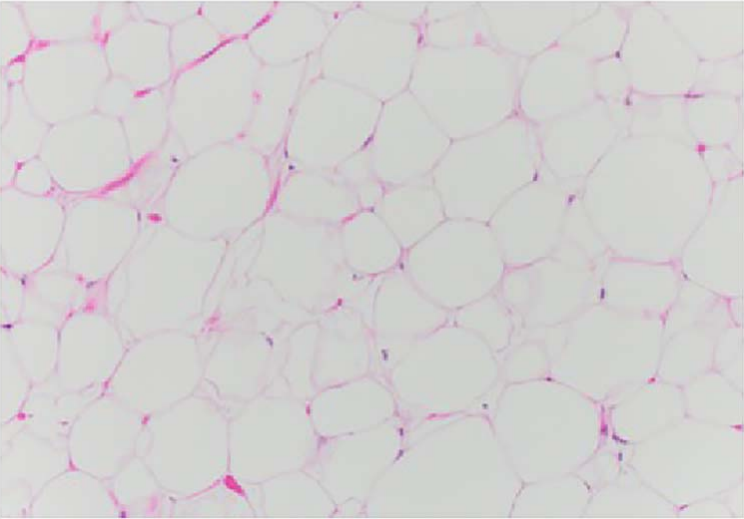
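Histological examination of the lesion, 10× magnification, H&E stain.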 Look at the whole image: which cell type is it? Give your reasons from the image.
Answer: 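Large, empty-looking round to polygonal cells packed closely together. Thin pink membranes outline each cell. Small, flat, dark nuclei are pressed to the edge of the cells.
Conclusion: mature adipose cells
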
